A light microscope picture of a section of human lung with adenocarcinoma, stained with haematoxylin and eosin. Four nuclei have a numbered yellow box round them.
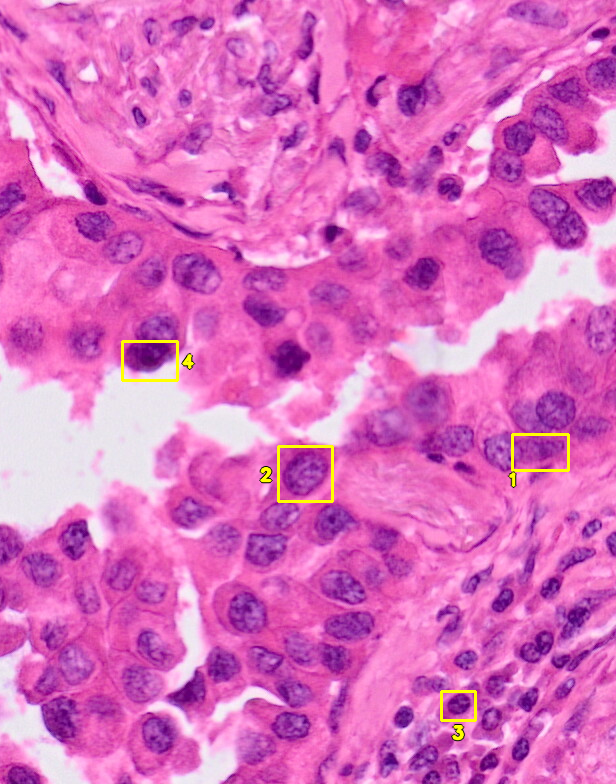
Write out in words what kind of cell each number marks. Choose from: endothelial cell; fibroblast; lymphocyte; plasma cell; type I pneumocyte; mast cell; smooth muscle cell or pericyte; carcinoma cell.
Cell 1 is a carcinoma cell, cell 2 is a carcinoma cell, cell 3 is a plasma cell and cell 4 is a carcinoma cell.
